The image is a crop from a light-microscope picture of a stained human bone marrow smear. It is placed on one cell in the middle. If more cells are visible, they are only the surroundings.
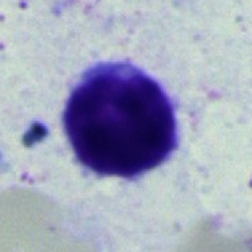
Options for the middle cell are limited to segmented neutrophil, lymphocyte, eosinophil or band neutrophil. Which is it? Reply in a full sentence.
At the center of the crop sits a lymphocyte.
